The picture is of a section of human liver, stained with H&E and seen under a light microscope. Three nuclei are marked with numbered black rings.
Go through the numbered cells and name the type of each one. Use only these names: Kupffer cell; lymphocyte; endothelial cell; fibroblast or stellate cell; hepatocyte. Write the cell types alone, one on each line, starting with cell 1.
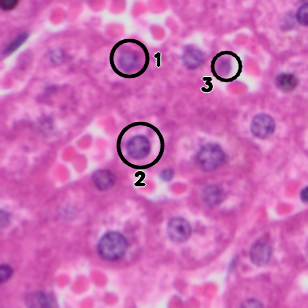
hepatocyte
hepatocyte
Kupffer cell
